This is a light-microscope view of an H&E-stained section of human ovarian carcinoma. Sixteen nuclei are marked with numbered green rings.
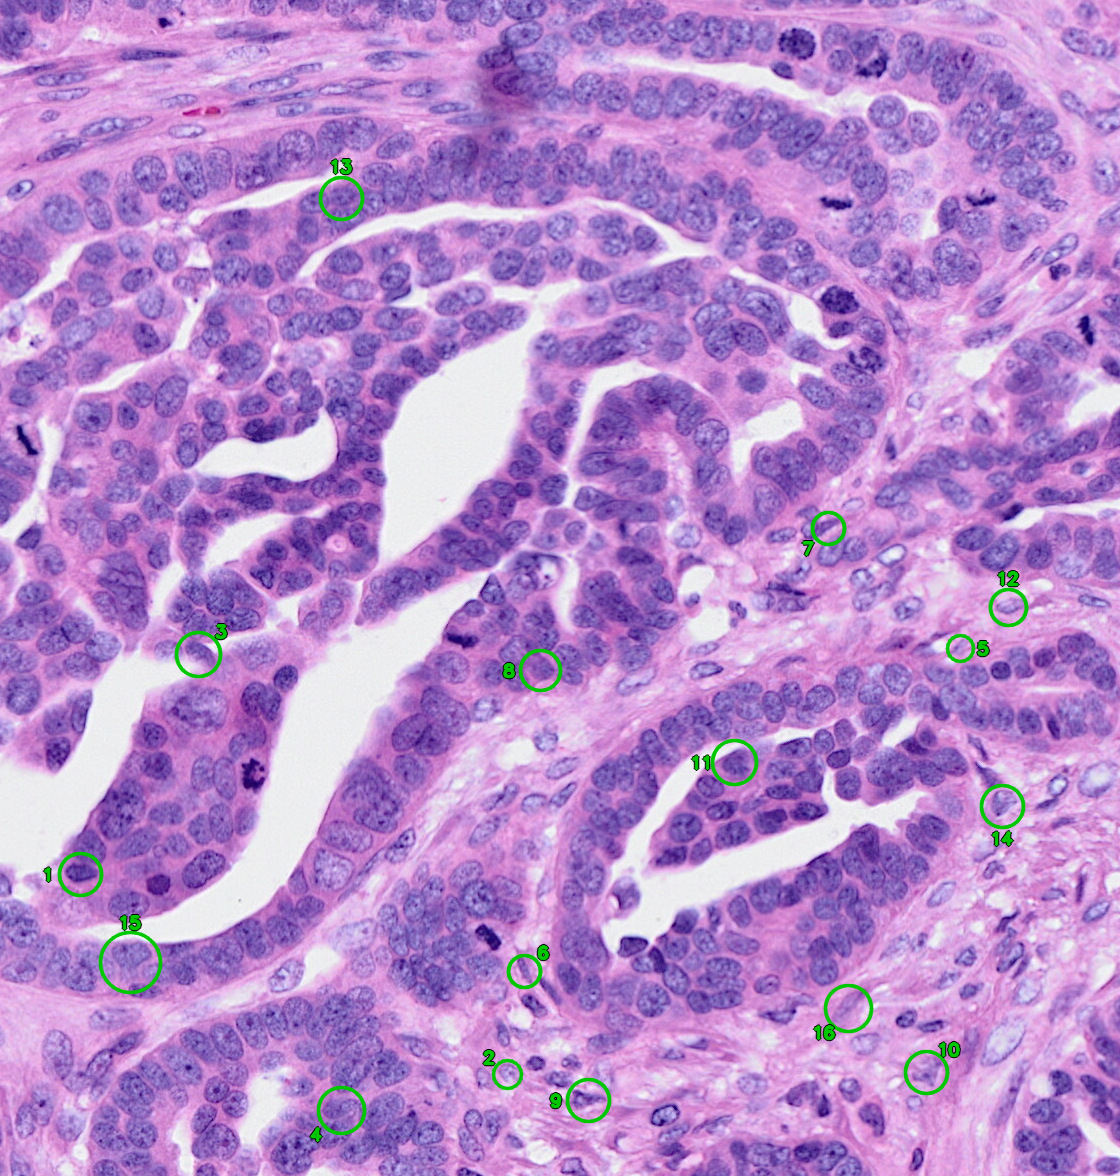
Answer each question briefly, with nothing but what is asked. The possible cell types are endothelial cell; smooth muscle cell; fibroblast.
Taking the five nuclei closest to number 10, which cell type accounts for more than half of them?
fibroblast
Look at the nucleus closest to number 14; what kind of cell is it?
fibroblast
